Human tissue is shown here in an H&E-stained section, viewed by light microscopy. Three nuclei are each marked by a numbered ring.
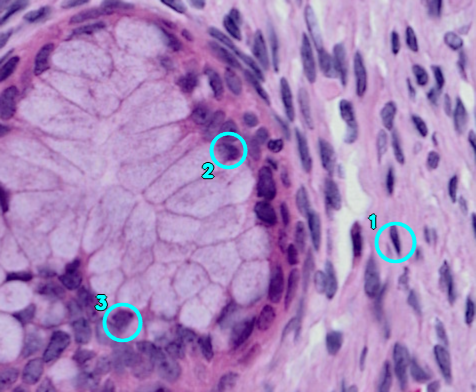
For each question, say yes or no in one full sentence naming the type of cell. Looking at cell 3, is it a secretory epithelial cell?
Yes, that is right: the cell labelled 3 is a secretory epithelial cell.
